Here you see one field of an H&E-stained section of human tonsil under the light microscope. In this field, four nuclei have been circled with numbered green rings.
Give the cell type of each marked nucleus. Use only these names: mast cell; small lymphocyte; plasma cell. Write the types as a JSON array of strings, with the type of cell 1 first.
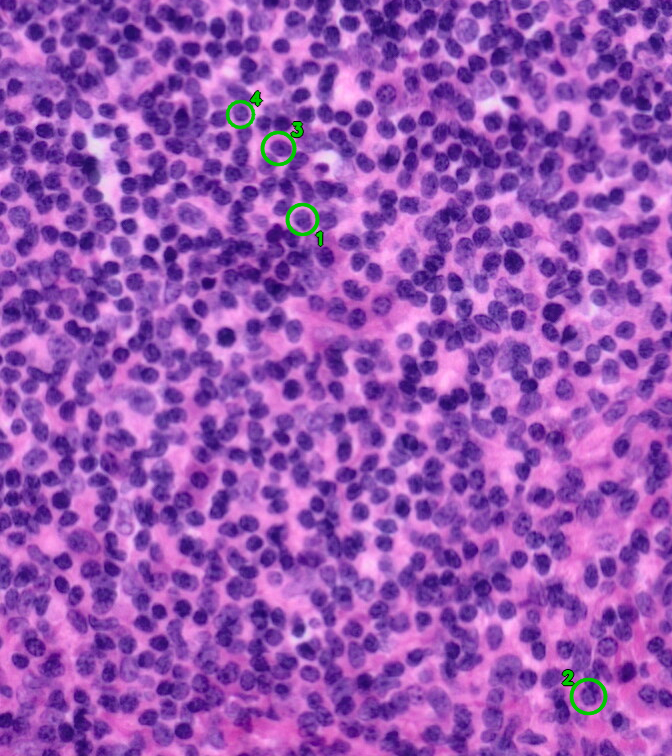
["small lymphocyte", "plasma cell", "small lymphocyte", "small lymphocyte"]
